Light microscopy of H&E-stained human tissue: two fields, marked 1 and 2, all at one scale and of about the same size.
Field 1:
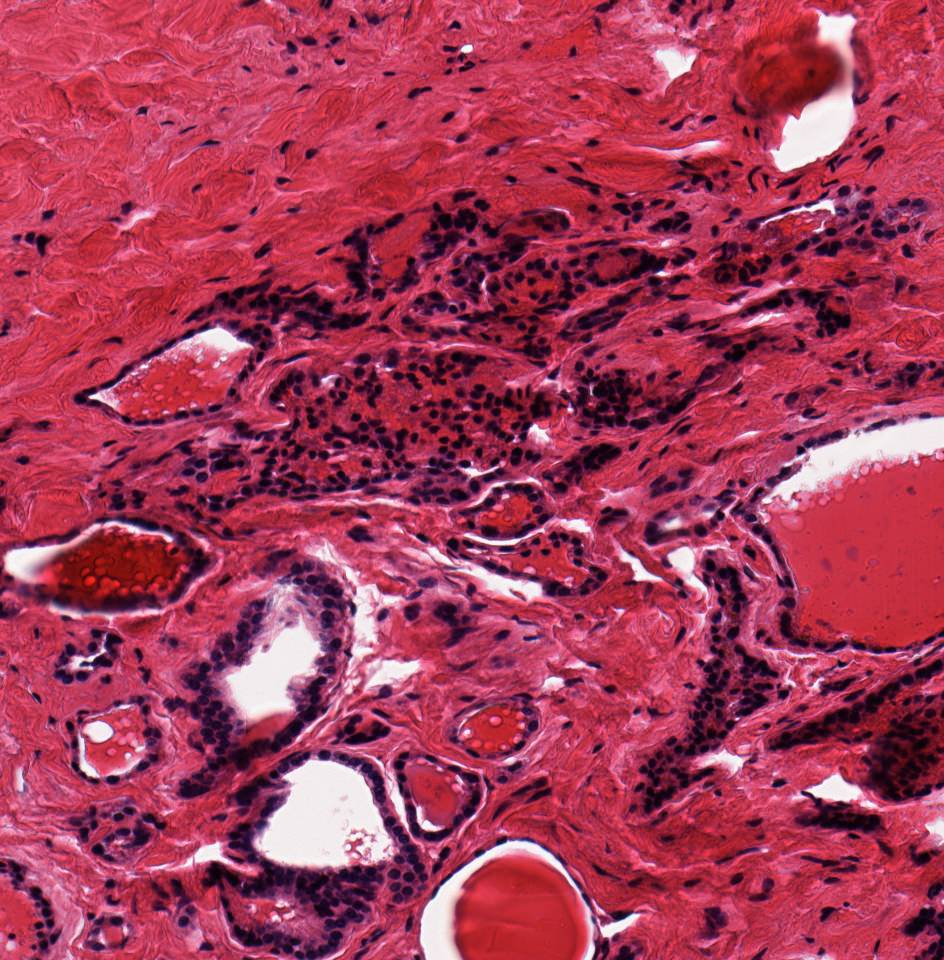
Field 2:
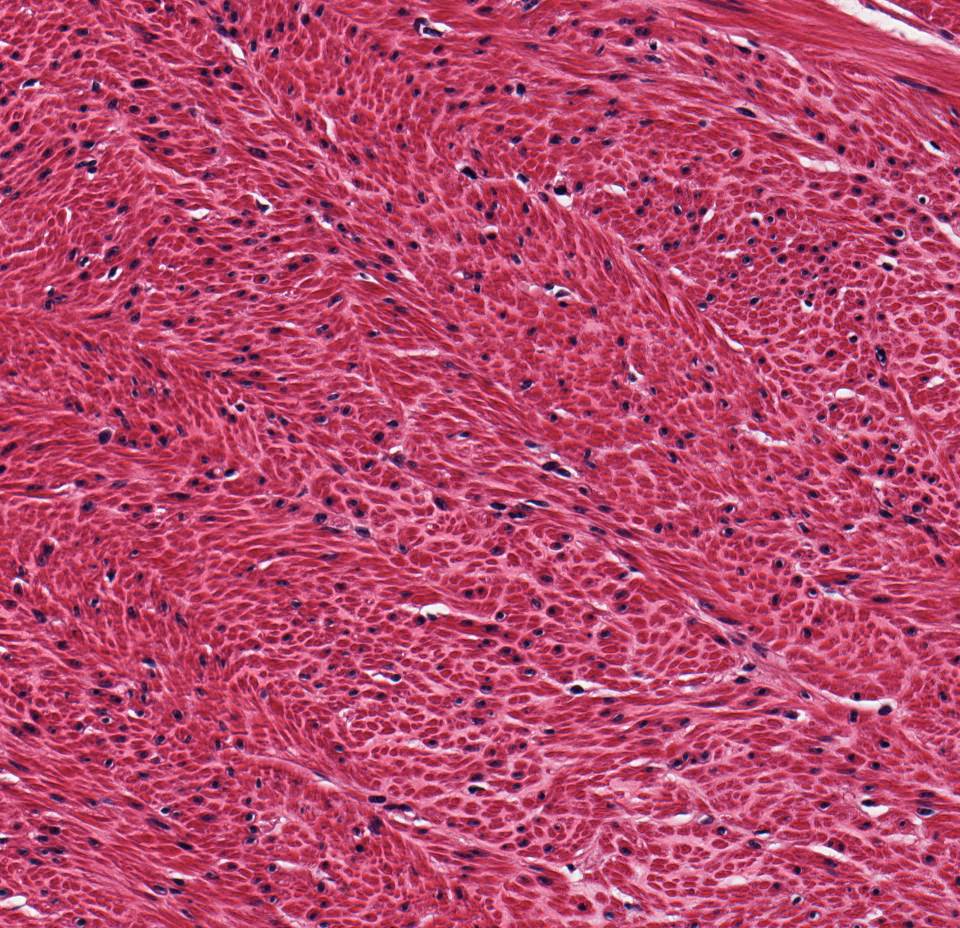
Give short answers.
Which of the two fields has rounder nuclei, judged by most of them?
2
